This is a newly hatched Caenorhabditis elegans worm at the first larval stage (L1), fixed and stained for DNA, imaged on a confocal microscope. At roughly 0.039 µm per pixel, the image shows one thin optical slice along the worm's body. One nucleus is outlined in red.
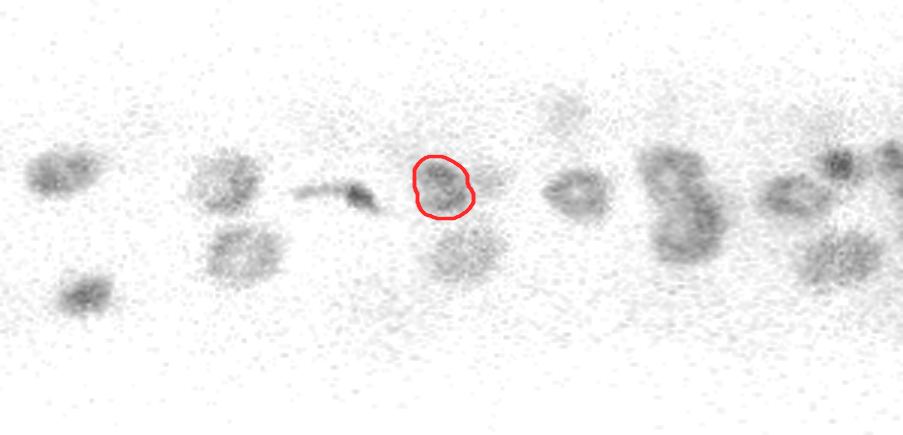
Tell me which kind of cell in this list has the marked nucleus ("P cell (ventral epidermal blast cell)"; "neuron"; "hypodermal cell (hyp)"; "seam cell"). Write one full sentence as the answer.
This nucleus is from a seam cell.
